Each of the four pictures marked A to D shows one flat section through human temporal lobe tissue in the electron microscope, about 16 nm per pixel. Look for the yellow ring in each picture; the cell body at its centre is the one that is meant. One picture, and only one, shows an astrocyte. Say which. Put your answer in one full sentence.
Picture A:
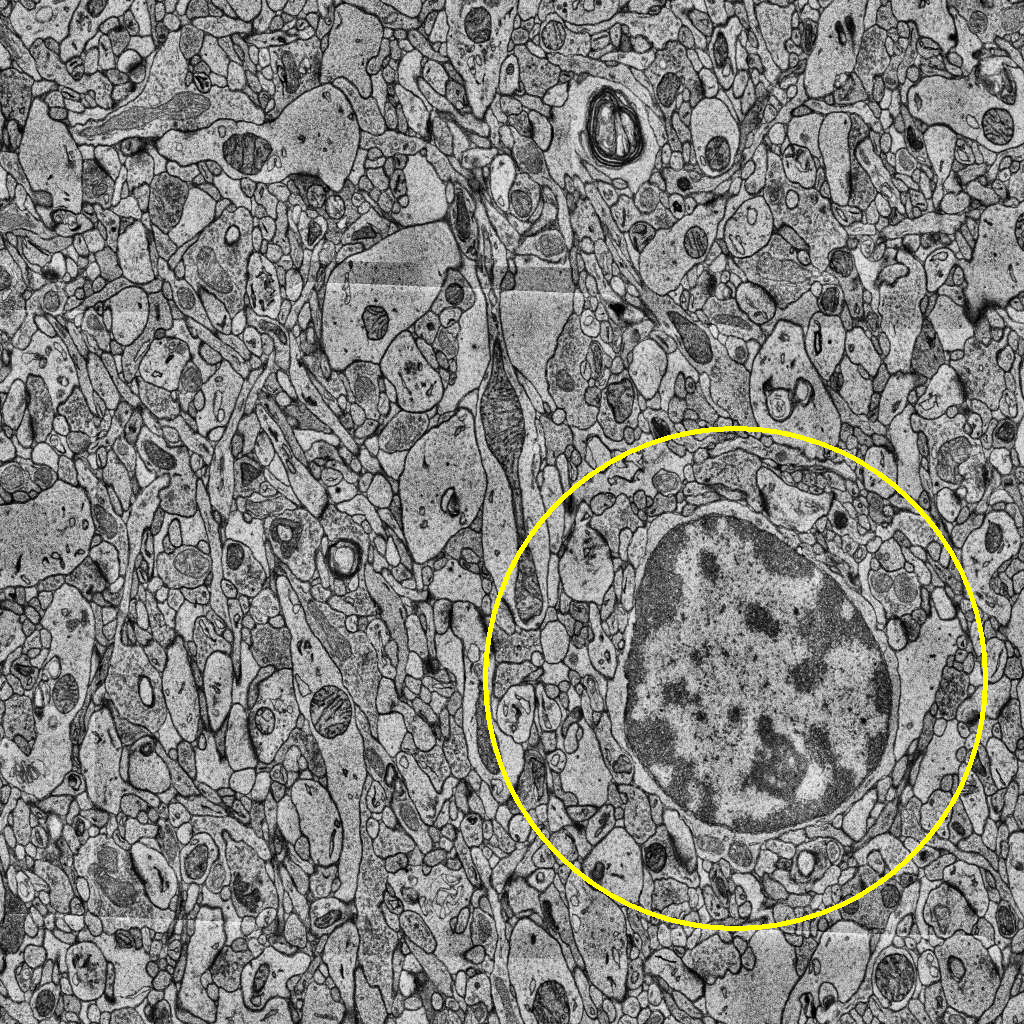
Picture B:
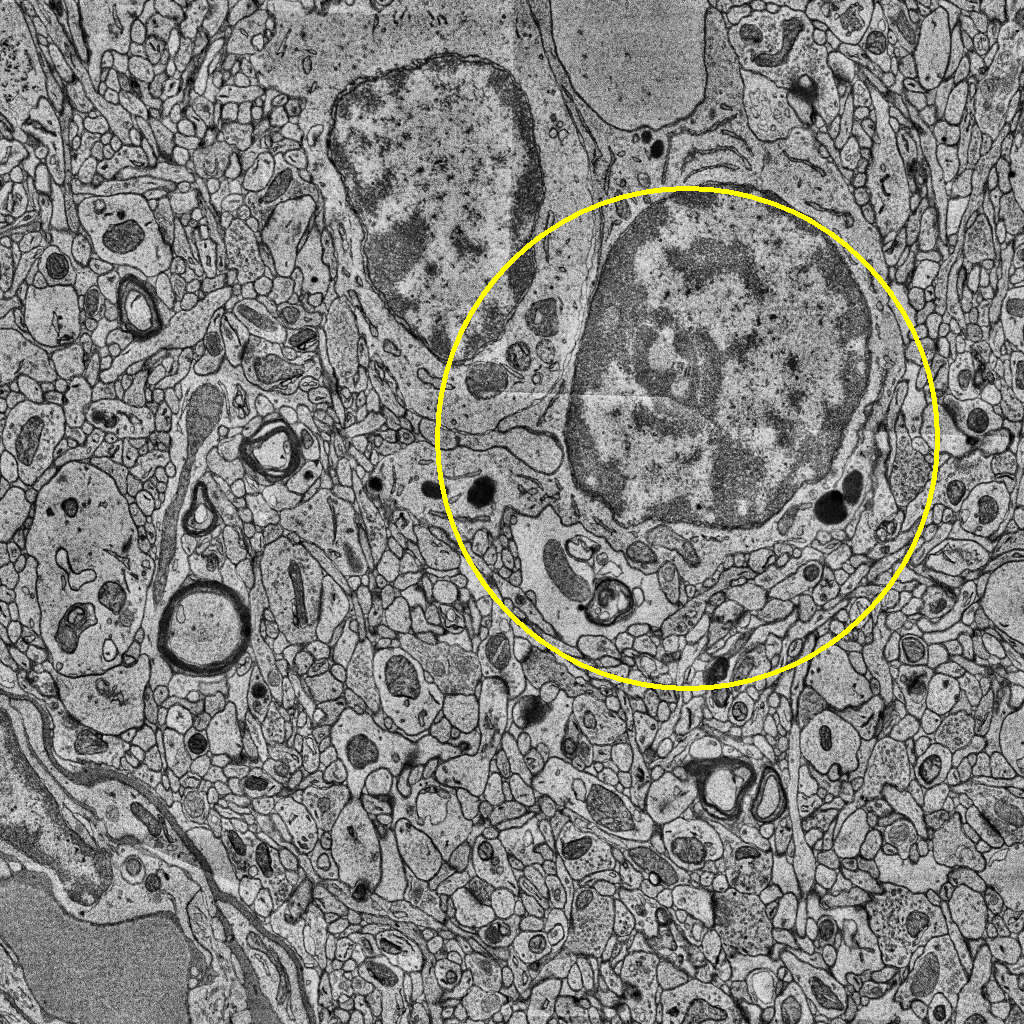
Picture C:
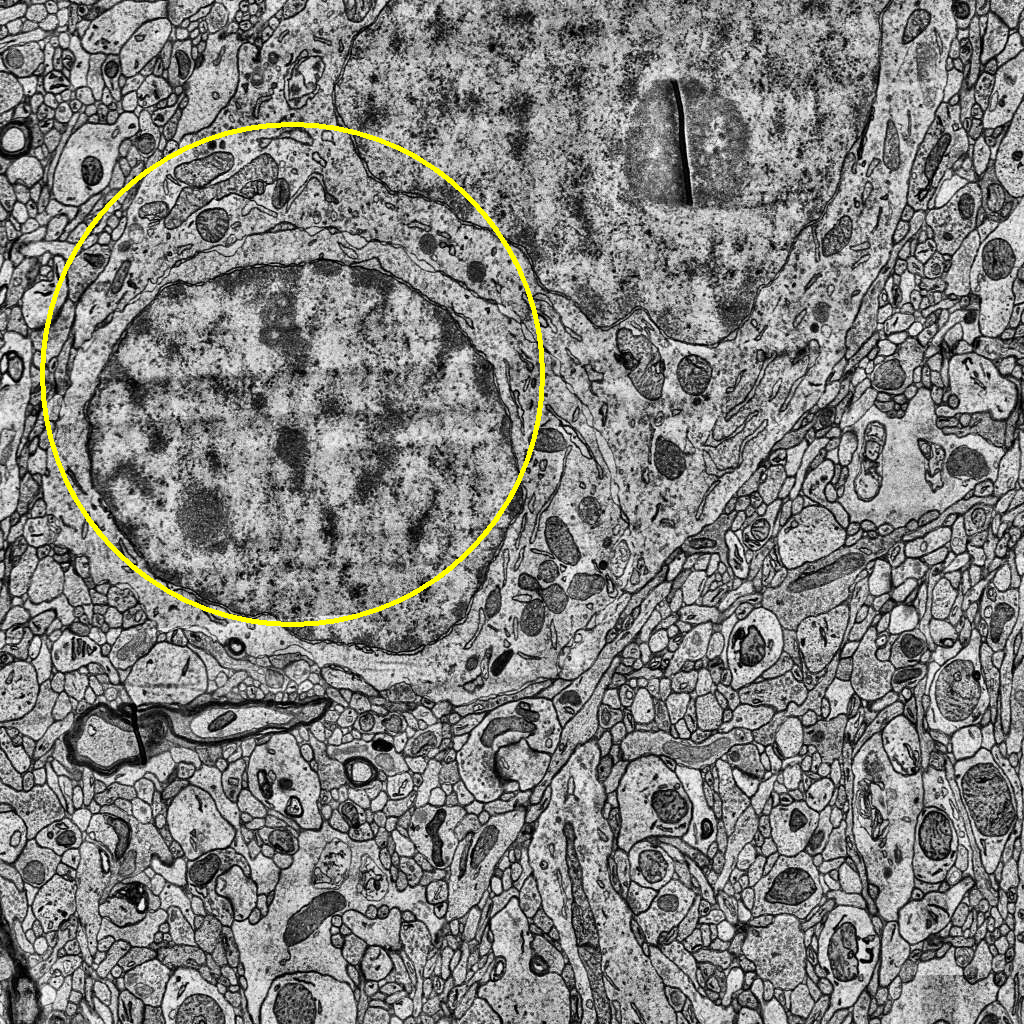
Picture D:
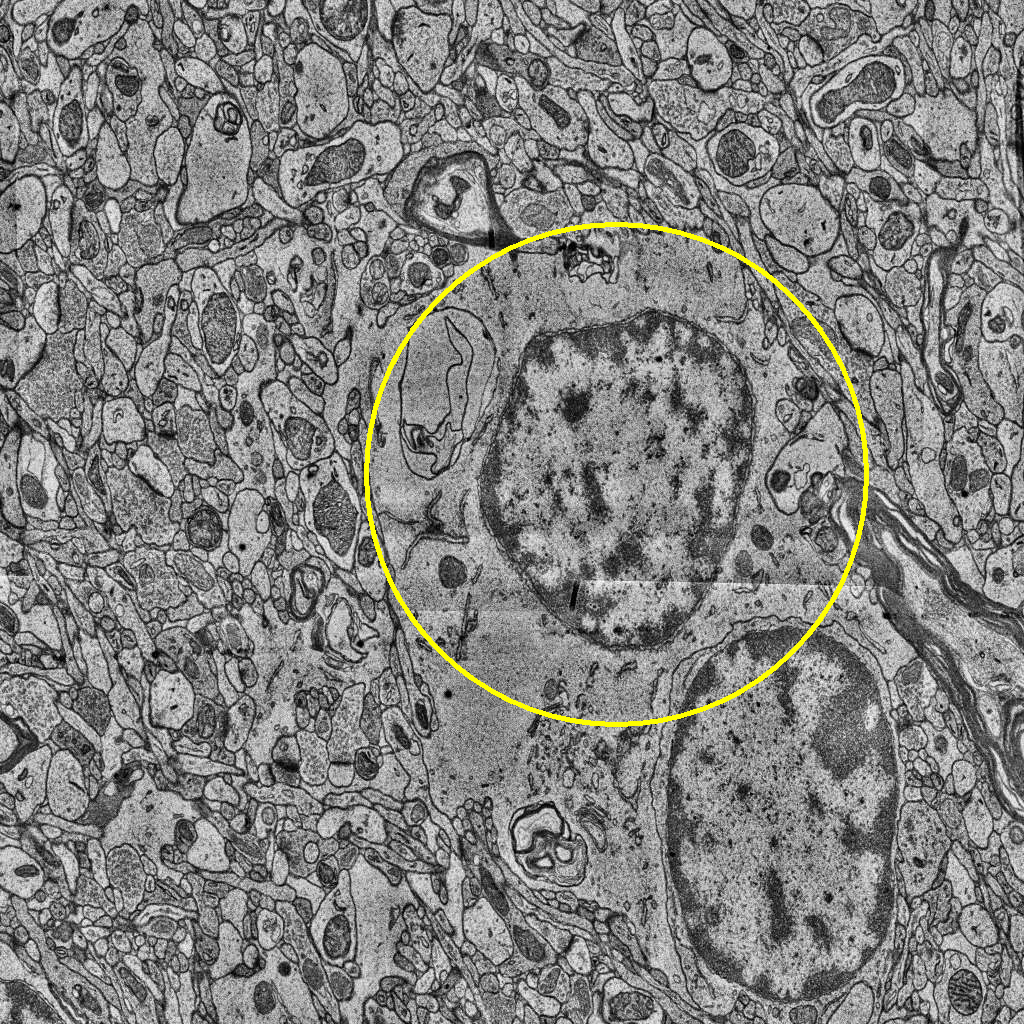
Picture D is the one that shows the astrocyte.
